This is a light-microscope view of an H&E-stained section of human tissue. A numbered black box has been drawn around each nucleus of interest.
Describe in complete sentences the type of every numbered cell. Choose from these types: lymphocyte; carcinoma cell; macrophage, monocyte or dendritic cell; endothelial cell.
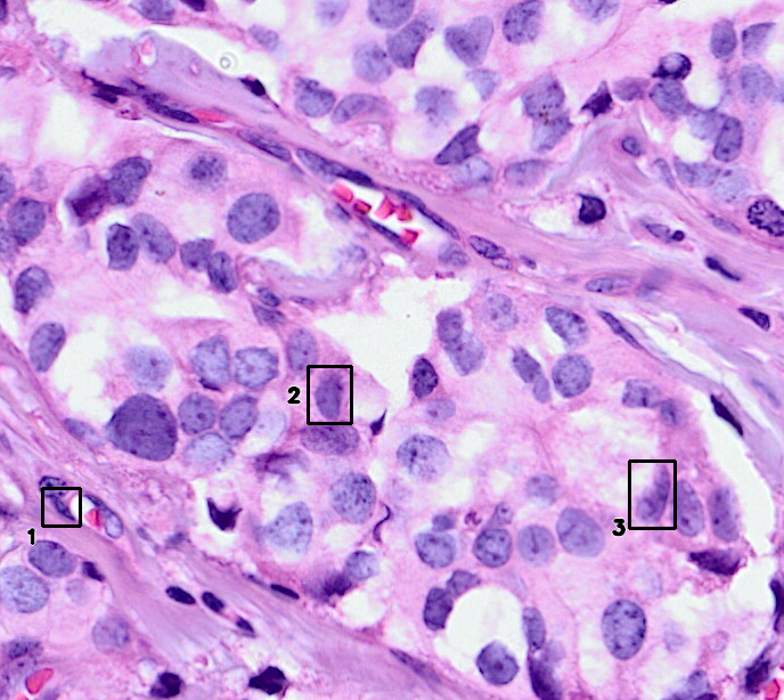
Cell 1 is an endothelial cell. Cells 2 and 3 are carcinoma cells.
